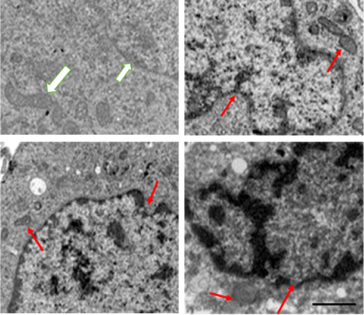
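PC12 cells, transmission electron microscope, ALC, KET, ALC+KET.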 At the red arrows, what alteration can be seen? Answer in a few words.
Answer: abnormal nuclei and mitochondria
